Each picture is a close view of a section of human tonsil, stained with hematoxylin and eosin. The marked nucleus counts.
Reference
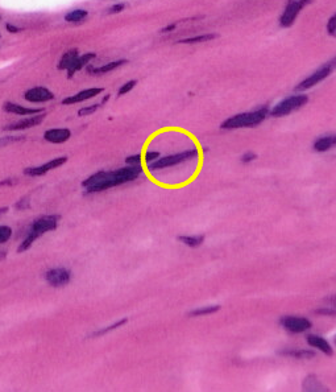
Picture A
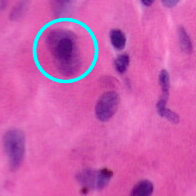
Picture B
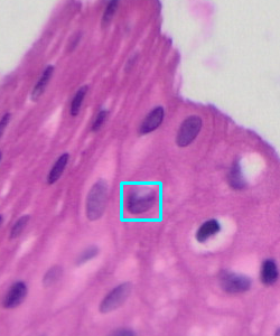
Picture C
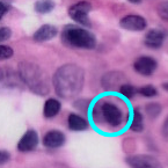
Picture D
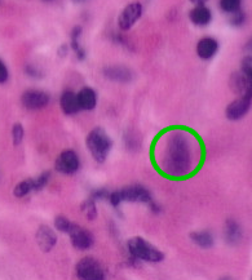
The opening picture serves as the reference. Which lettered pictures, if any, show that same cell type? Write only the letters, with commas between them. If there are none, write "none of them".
A, C, D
